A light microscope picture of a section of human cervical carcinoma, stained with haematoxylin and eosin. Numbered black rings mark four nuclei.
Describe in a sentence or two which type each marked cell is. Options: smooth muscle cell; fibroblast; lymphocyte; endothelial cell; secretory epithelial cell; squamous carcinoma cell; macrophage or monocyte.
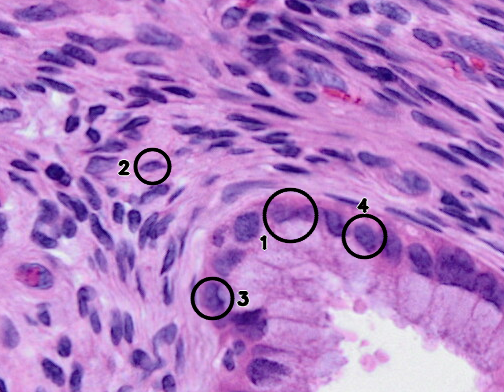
Cells 1, 3 and 4 are secretory epithelial cells. Cell 2 is a fibroblast.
